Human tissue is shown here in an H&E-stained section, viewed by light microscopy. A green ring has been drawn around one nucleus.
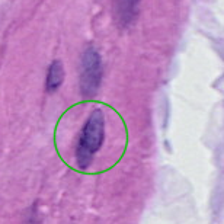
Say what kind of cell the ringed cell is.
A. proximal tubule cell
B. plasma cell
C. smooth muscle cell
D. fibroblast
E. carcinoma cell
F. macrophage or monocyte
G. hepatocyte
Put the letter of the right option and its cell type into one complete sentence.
The correct option here, C, identifies the ringed cell as a smooth muscle cell.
